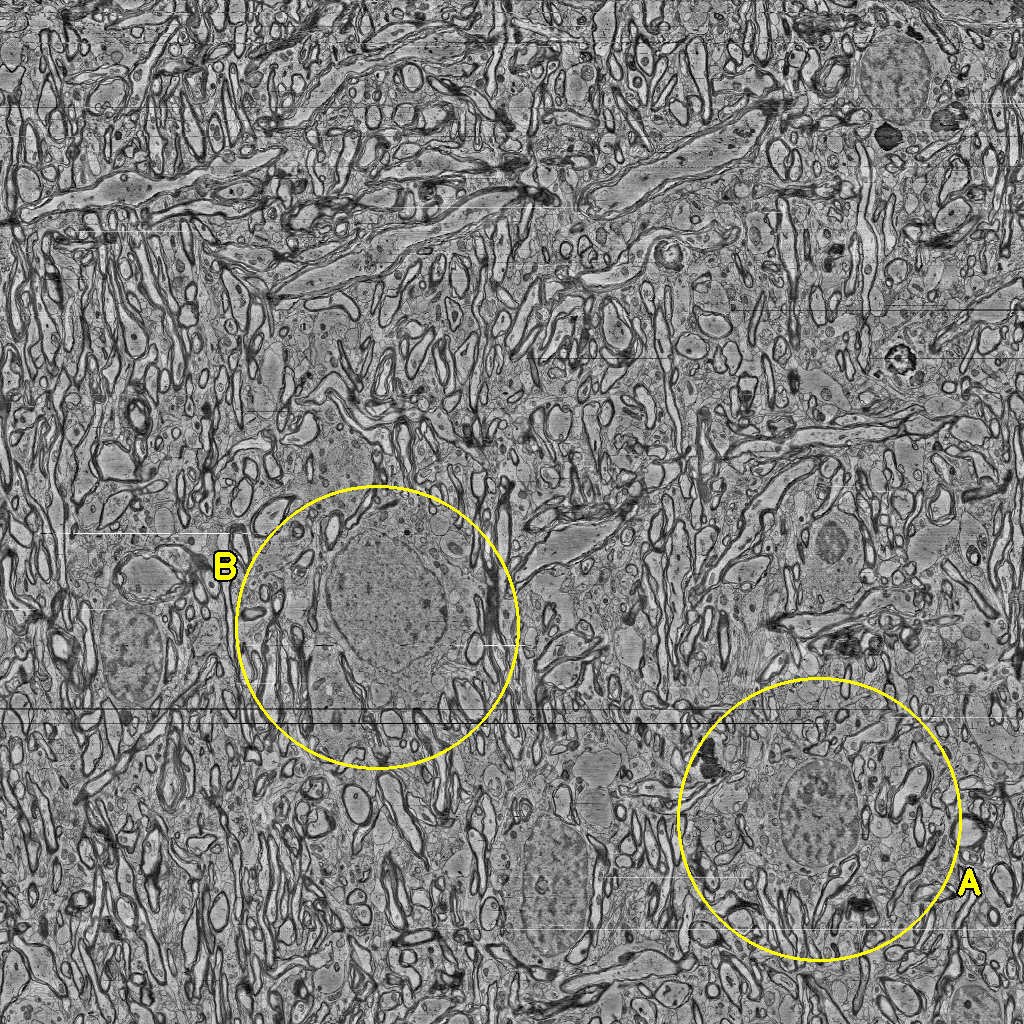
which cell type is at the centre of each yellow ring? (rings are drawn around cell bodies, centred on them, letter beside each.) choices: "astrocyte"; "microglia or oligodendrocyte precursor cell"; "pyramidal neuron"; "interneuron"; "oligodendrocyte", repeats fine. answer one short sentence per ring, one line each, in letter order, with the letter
Ring A is an oligodendrocyte.
Ring B is an astrocyte.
